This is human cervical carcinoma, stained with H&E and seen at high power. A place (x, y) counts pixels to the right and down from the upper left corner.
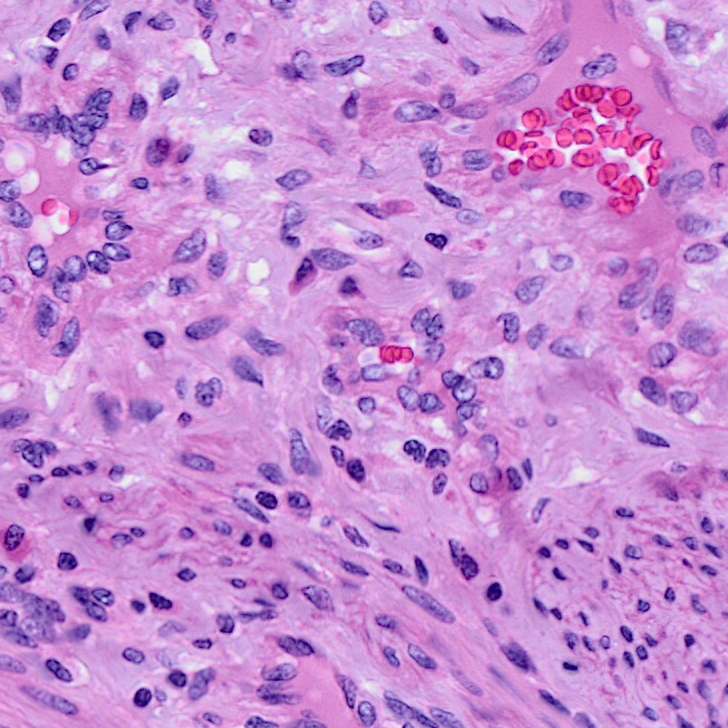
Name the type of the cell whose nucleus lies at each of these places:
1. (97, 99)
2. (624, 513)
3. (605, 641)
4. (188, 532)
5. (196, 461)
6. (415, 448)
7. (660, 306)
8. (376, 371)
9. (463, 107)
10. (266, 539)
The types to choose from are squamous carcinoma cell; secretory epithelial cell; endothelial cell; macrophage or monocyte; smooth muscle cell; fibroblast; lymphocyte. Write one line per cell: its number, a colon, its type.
1: endothelial cell
2: smooth muscle cell
3: smooth muscle cell
4: smooth muscle cell
5: smooth muscle cell
6: lymphocyte
7: endothelial cell
8: endothelial cell
9: endothelial cell
10: smooth muscle cell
